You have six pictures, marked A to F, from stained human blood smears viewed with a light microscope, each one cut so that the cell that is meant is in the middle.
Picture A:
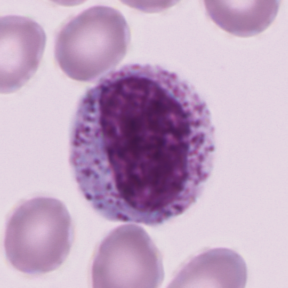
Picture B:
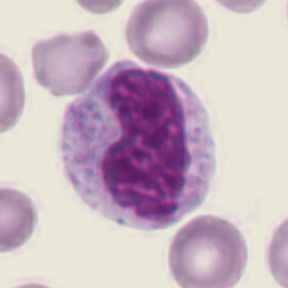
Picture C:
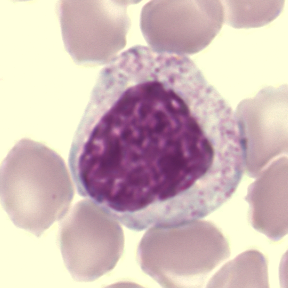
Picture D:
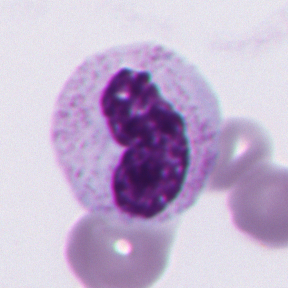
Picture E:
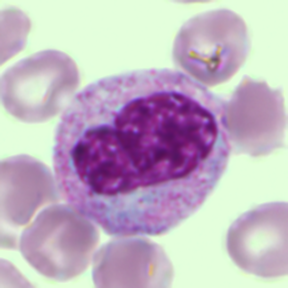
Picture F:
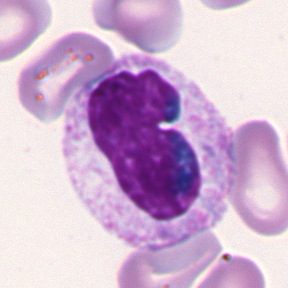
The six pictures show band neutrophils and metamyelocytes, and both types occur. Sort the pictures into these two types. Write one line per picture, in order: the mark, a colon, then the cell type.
A: metamyelocyte
B: metamyelocyte
C: metamyelocyte
D: band neutrophil
E: metamyelocyte
F: band neutrophil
